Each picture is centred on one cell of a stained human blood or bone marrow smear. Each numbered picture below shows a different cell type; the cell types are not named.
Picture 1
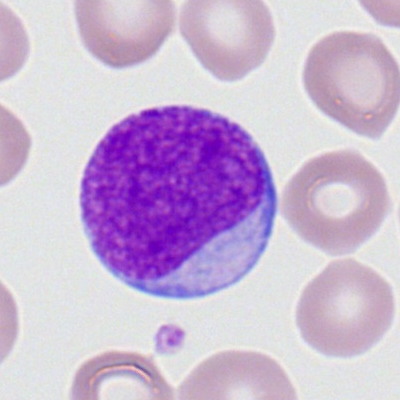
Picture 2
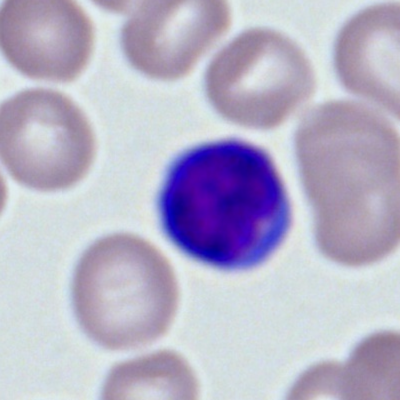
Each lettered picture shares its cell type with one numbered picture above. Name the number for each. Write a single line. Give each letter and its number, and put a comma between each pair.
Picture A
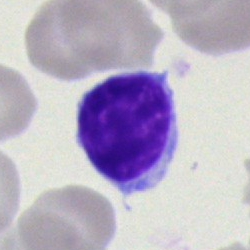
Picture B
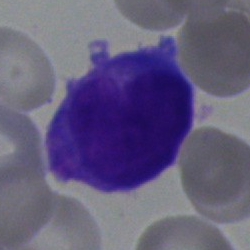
A 2, B 1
